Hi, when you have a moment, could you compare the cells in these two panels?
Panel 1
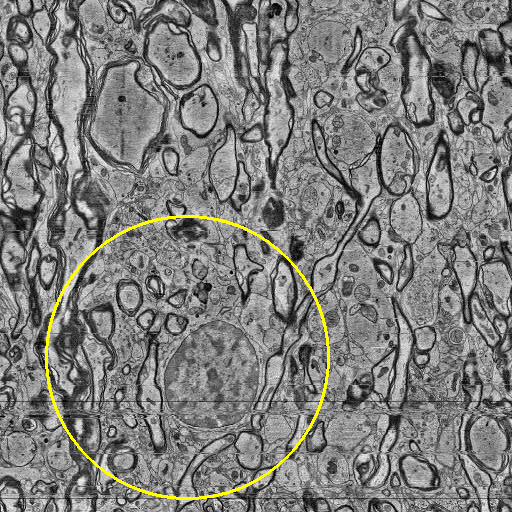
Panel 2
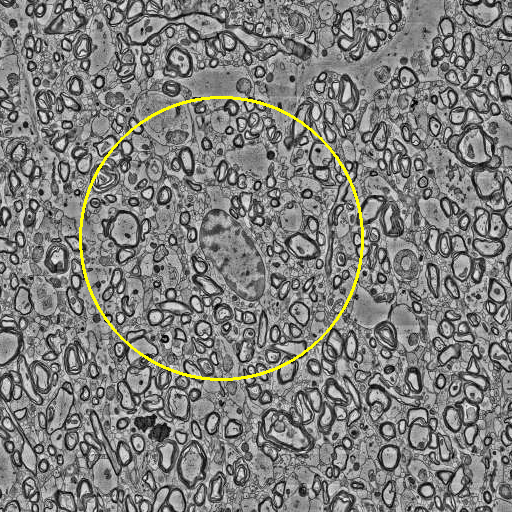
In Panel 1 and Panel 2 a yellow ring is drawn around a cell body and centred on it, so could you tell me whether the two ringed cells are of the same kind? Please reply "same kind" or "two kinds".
same kind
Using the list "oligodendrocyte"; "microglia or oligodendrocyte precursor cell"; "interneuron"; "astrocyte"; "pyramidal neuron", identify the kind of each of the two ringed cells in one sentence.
The cell in the first picture is a microglial cell or oligodendrocyte precursor cell, and so is the one in the second.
